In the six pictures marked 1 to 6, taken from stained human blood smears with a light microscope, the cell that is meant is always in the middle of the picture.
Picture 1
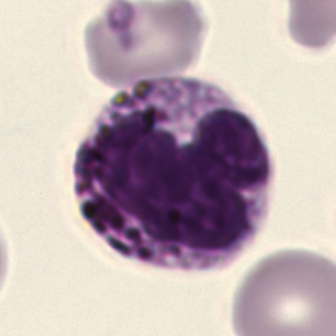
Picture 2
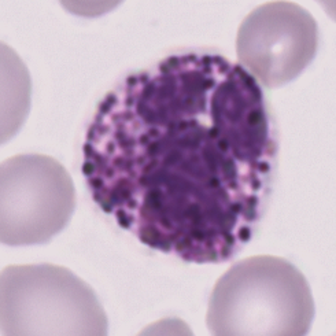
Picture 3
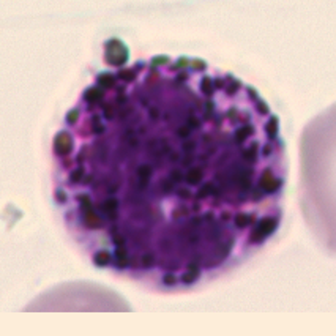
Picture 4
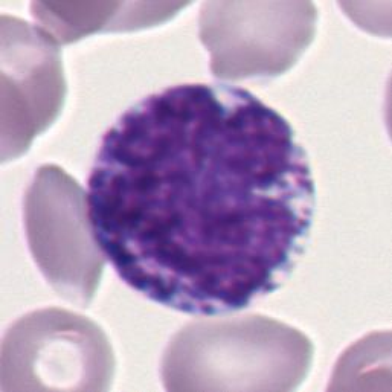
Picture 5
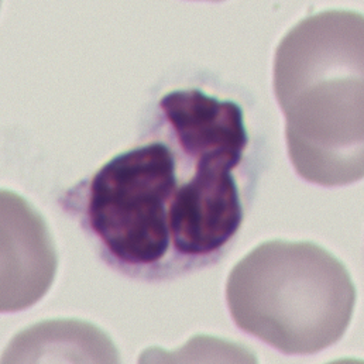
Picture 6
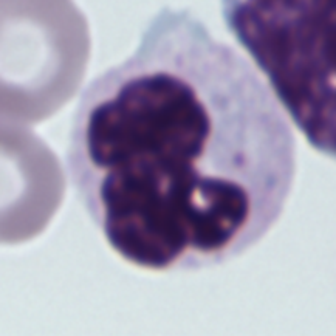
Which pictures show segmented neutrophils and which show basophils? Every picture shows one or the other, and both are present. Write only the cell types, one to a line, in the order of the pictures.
basophil
basophil
basophil
basophil
segmented neutrophil
segmented neutrophil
